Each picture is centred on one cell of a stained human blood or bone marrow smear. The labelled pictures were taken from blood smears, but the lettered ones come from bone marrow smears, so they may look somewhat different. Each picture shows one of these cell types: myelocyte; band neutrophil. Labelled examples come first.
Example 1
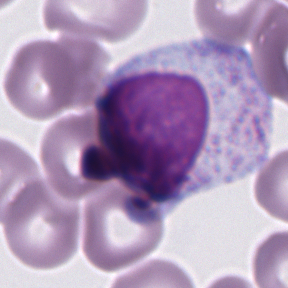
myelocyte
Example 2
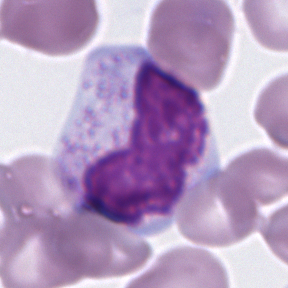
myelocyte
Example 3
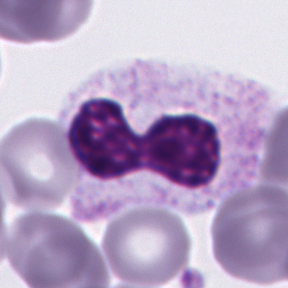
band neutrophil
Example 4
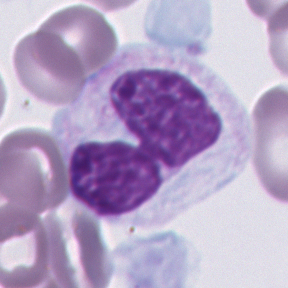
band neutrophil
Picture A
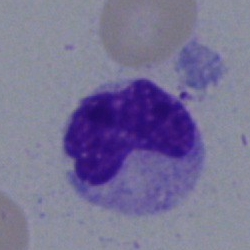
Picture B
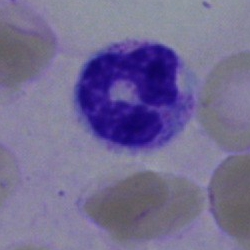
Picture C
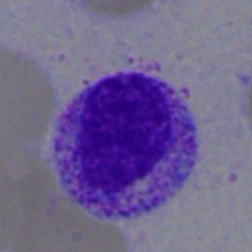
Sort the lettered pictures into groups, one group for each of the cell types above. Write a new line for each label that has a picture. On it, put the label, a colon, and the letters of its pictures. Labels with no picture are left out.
myelocyte: C
band neutrophil: A, B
